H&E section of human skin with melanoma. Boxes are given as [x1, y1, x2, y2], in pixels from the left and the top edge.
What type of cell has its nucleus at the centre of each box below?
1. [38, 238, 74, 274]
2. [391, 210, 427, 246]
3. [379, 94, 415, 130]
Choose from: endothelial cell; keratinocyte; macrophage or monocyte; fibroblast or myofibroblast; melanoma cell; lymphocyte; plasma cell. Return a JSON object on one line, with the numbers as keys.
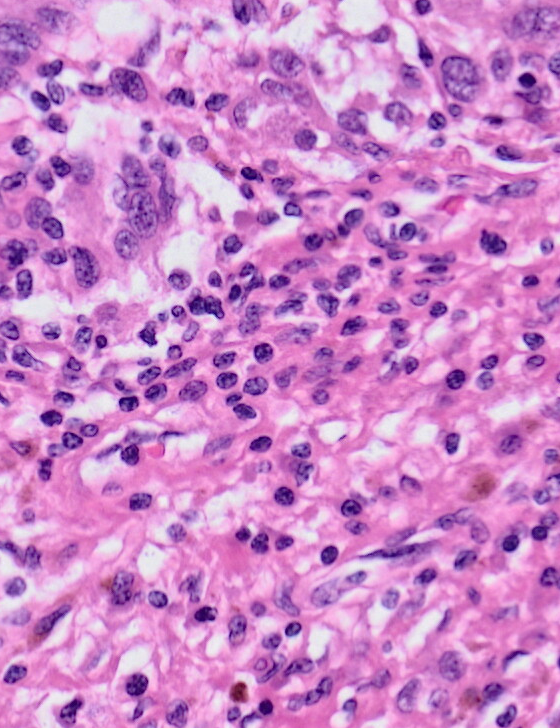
{"1": "lymphocyte", "2": "lymphocyte", "3": "melanoma cell"}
